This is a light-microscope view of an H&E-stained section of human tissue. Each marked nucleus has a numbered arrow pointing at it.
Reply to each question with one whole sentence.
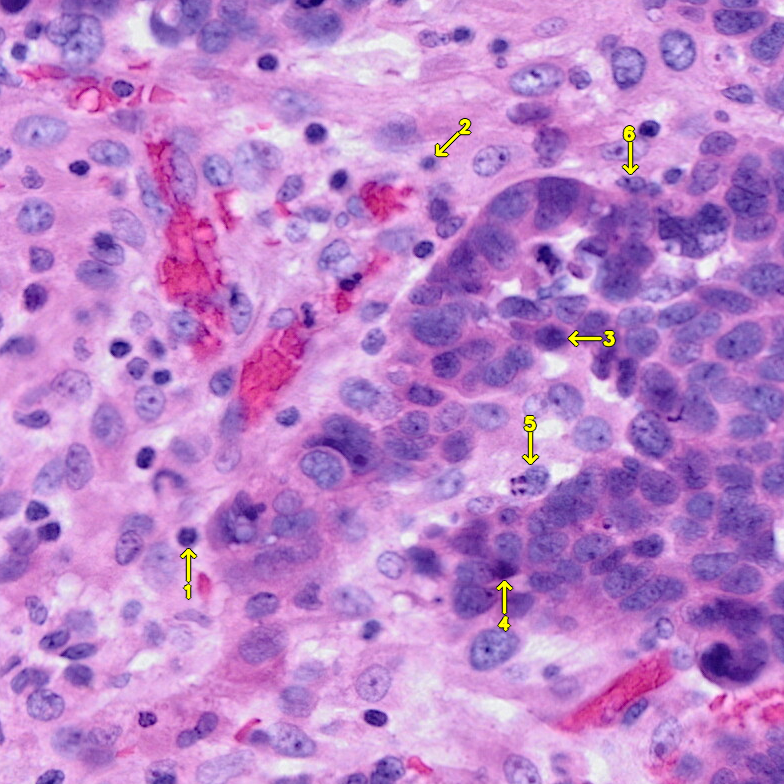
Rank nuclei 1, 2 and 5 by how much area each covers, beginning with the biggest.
From largest to smallest, the order is 5, 1, 2.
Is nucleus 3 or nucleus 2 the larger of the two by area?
It is nucleus 3, which covers about 1.5 times the area of nucleus 2.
